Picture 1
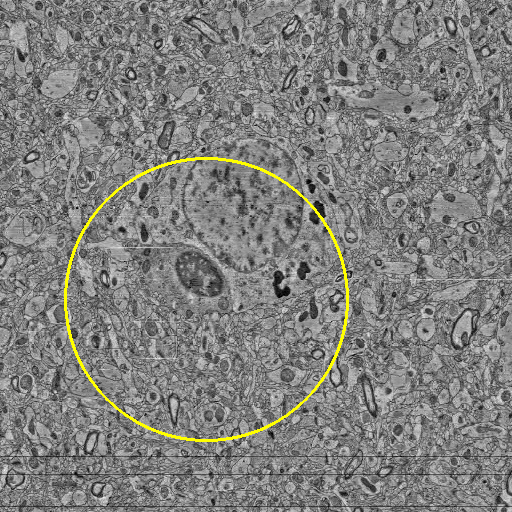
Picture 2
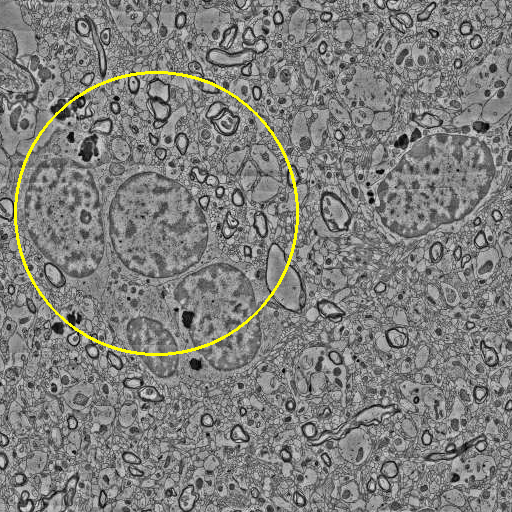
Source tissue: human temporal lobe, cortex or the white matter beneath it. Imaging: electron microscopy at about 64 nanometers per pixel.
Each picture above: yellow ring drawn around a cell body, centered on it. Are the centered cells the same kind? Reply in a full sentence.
Yes, the two cells are the same kind.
